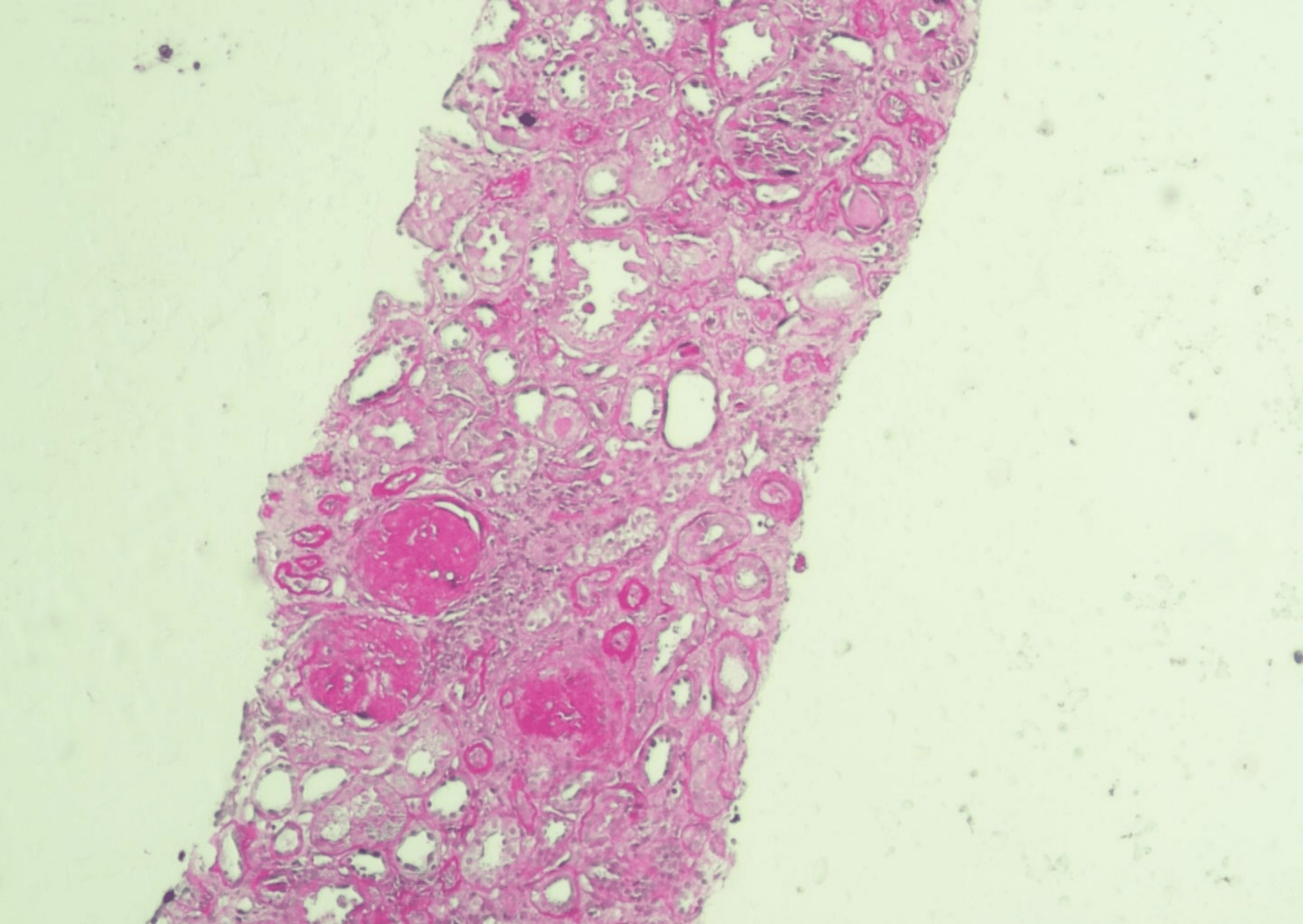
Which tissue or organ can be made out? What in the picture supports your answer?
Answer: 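Core of tissue packed with round and oval tubular profiles in cross-section. Rounded glomerulus-like tufts lie among the tubules. The answer: renal biopsy.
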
